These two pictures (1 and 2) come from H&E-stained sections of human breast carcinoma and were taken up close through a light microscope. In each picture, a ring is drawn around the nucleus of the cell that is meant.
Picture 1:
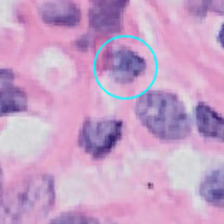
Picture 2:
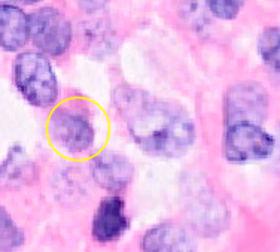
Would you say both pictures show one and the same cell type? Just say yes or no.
no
